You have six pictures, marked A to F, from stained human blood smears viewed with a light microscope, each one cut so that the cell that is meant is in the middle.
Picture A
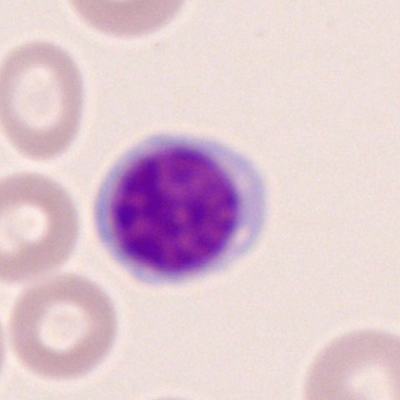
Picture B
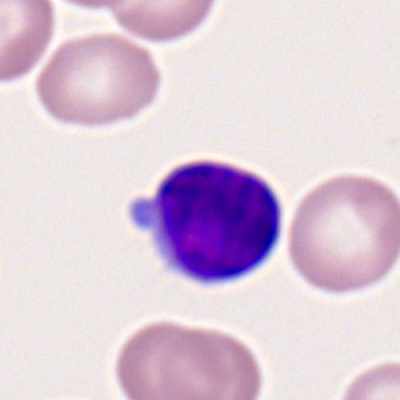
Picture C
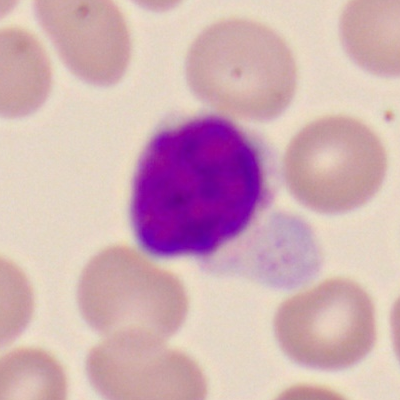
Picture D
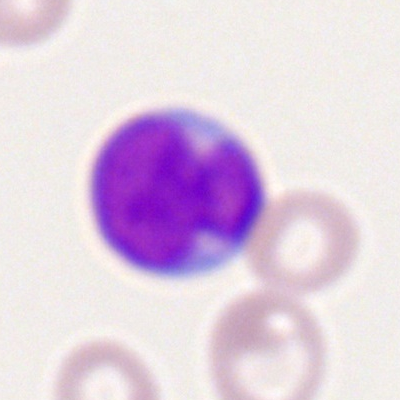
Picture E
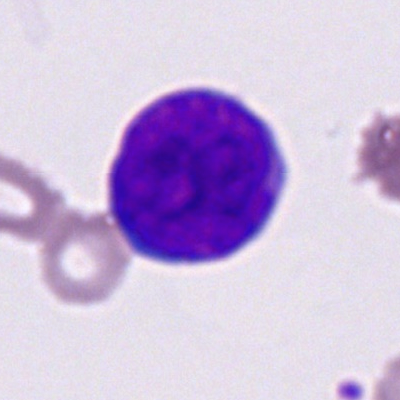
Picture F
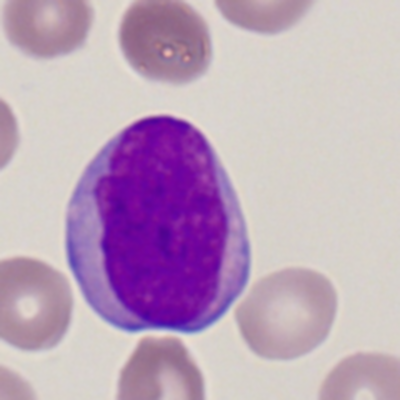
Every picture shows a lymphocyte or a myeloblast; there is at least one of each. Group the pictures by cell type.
A: lymphocyte
B: lymphocyte
C: lymphocyte
D: myeloblast
E: myeloblast
F: myeloblast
